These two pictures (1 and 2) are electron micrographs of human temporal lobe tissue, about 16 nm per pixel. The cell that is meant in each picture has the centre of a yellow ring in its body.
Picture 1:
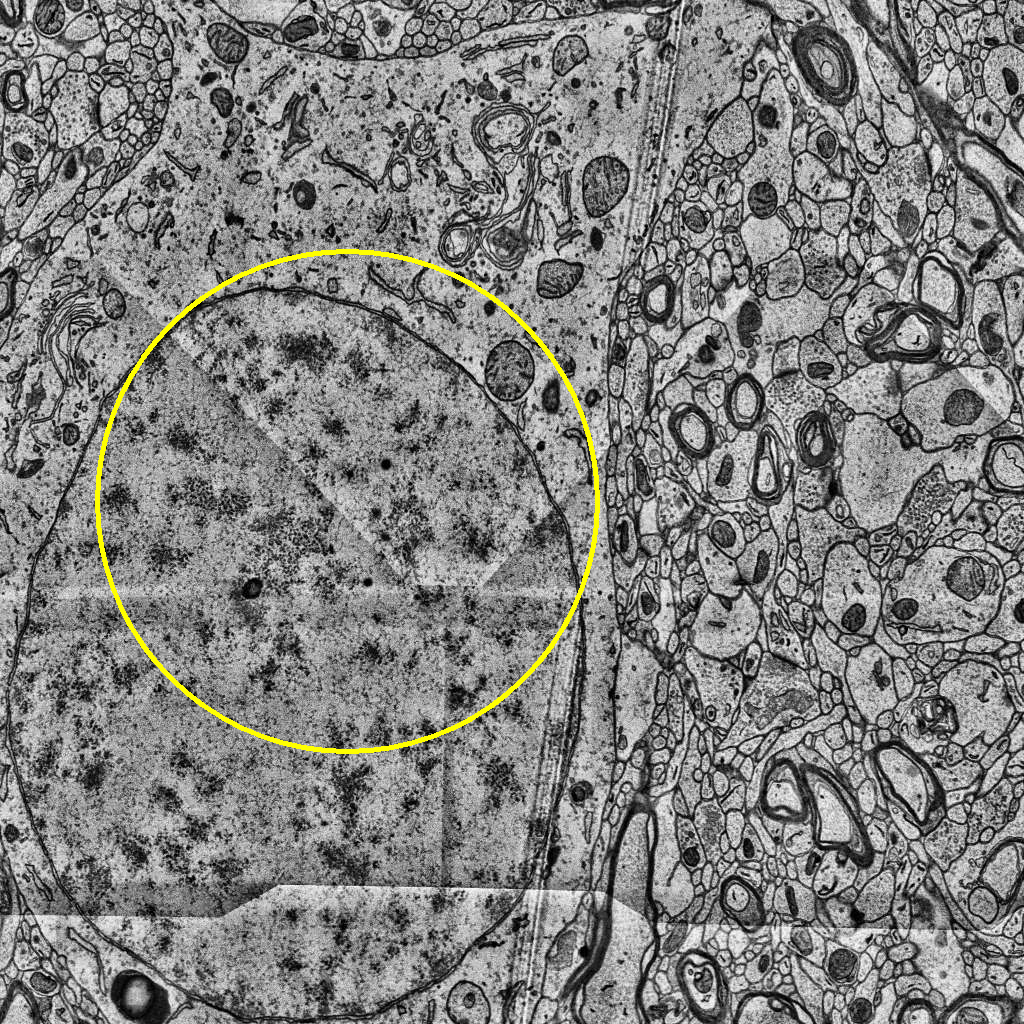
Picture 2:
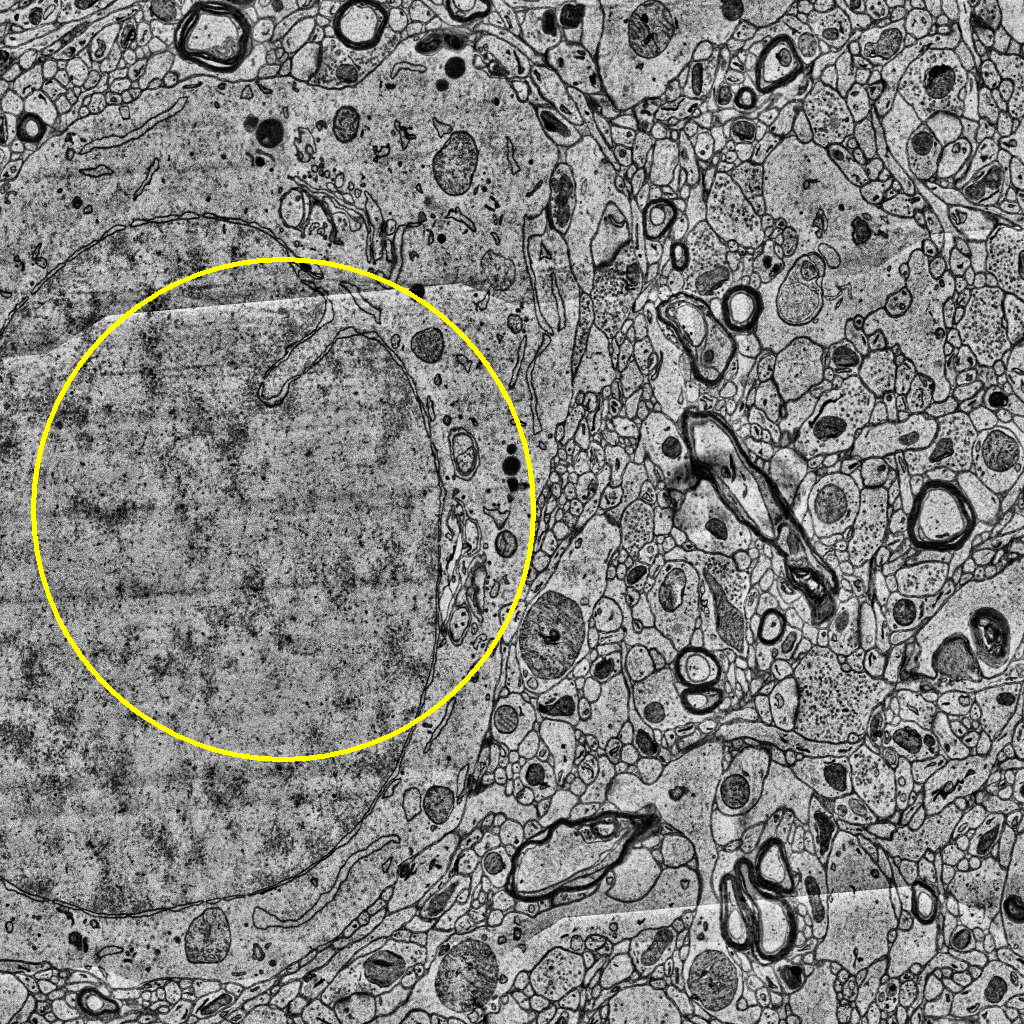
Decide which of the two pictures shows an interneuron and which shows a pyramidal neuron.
The cell in picture 1 is a pyramidal neuron, and the one in picture 2 is an interneuron.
